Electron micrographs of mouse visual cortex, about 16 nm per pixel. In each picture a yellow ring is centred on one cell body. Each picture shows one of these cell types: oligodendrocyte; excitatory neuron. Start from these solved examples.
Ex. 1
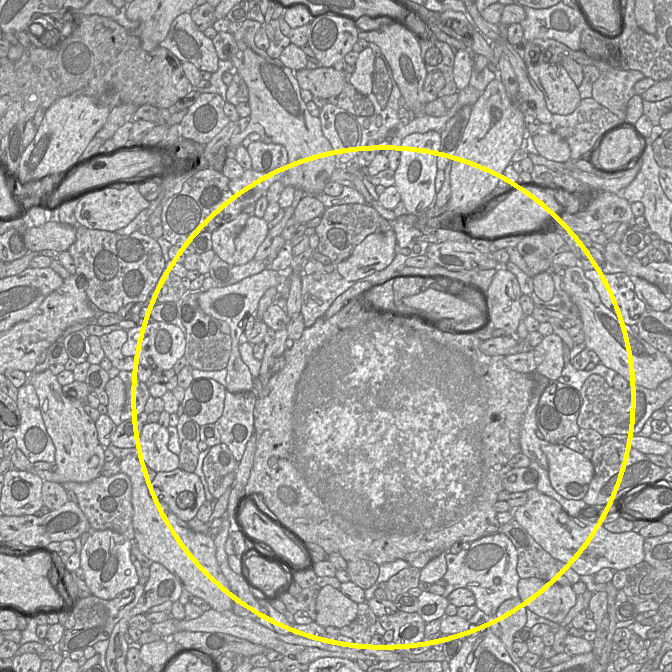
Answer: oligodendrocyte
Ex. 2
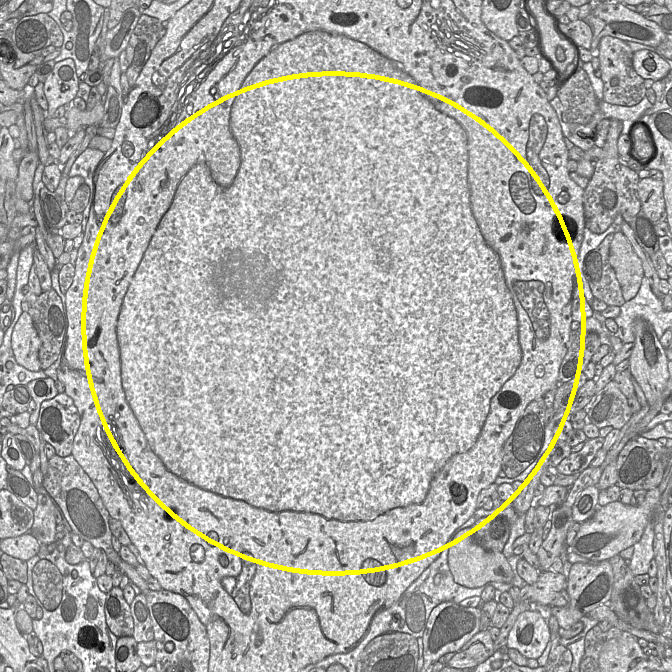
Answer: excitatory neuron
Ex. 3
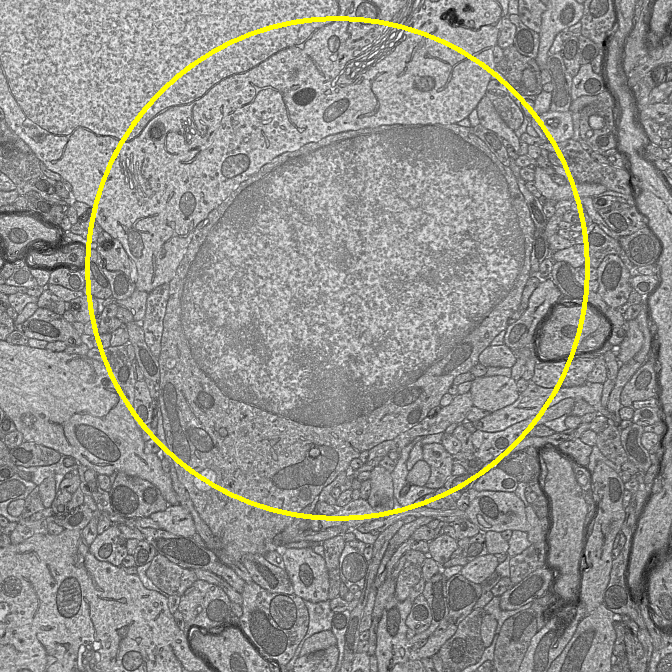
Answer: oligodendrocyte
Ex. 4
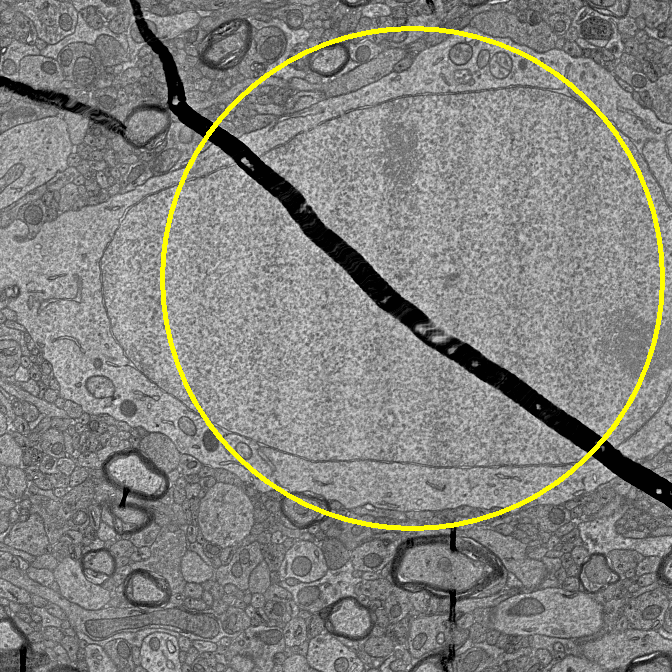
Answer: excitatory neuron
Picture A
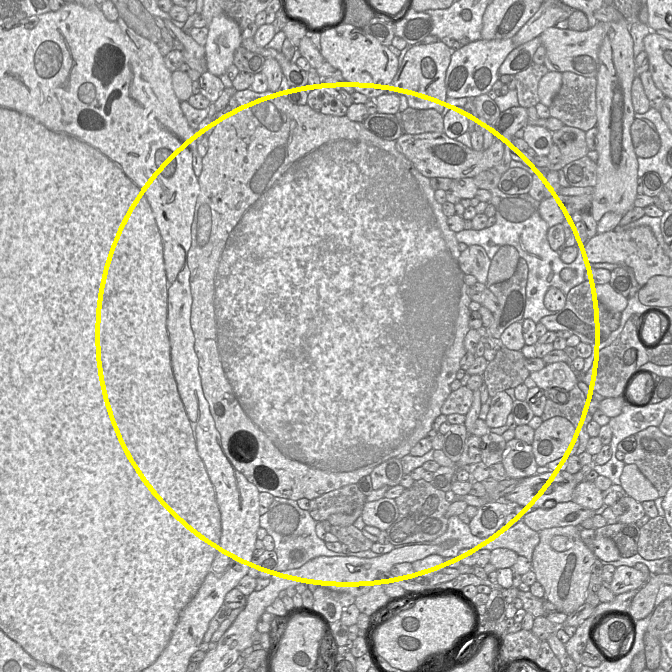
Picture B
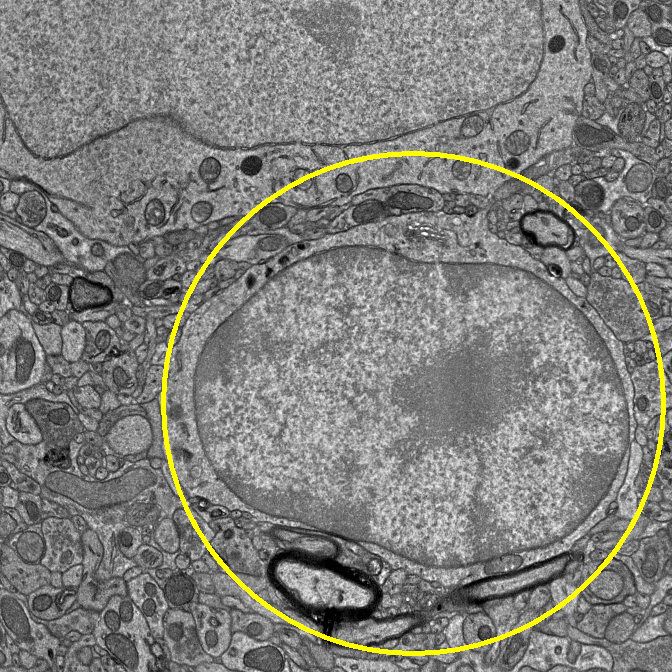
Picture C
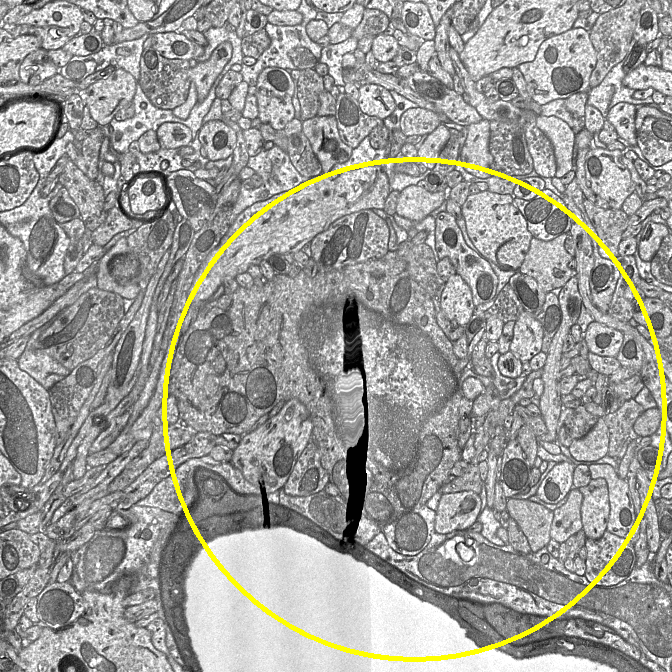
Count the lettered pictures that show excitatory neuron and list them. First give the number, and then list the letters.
0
